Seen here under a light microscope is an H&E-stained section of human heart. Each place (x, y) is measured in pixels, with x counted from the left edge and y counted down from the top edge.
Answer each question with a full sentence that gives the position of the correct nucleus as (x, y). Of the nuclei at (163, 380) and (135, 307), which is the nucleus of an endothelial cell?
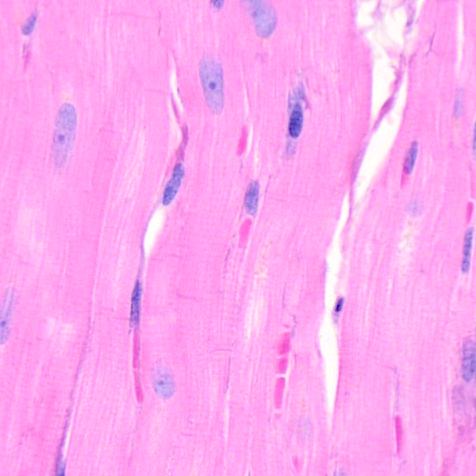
Among the two, the nucleus at (135, 307) is the nucleus of an endothelial cell.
